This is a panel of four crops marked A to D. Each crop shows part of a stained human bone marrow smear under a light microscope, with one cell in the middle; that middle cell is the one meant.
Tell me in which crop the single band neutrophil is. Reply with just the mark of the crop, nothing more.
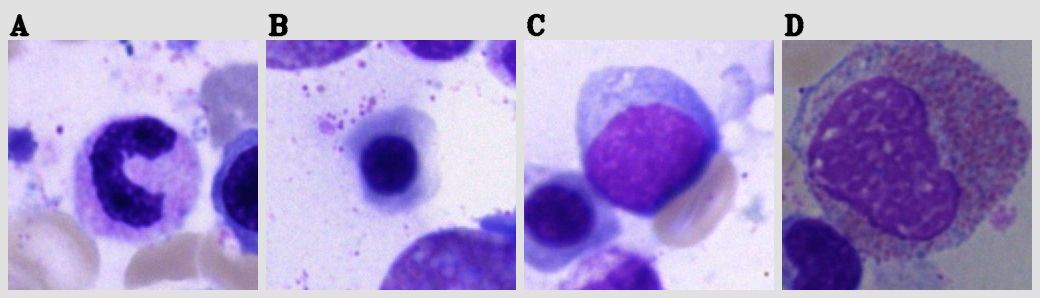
A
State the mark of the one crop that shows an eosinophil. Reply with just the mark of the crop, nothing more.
D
